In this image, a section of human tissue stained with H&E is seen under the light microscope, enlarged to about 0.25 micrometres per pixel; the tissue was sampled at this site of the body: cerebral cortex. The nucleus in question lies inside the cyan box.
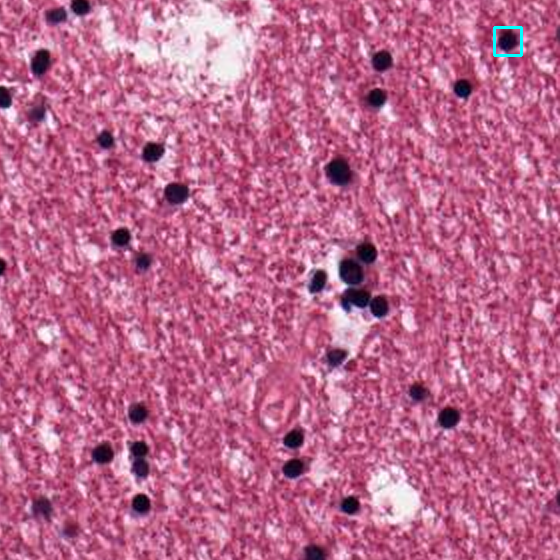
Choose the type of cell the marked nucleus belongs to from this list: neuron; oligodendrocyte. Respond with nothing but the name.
oligodendrocyte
